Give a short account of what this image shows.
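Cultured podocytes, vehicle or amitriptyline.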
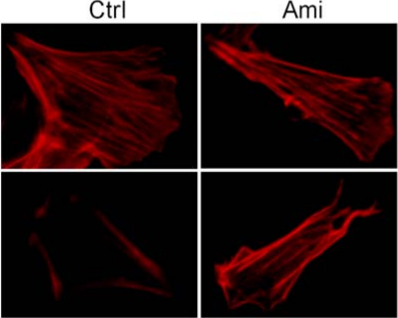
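Three of the cells are large and flattened, widening like a fan toward one end, and their cytoplasm is crossed by many fine, bright red filaments running in parallel along the cell's long axis, with a denser red rim along the edges. No nuclear counterstain is shown, and the nuclei are not separately visible.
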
